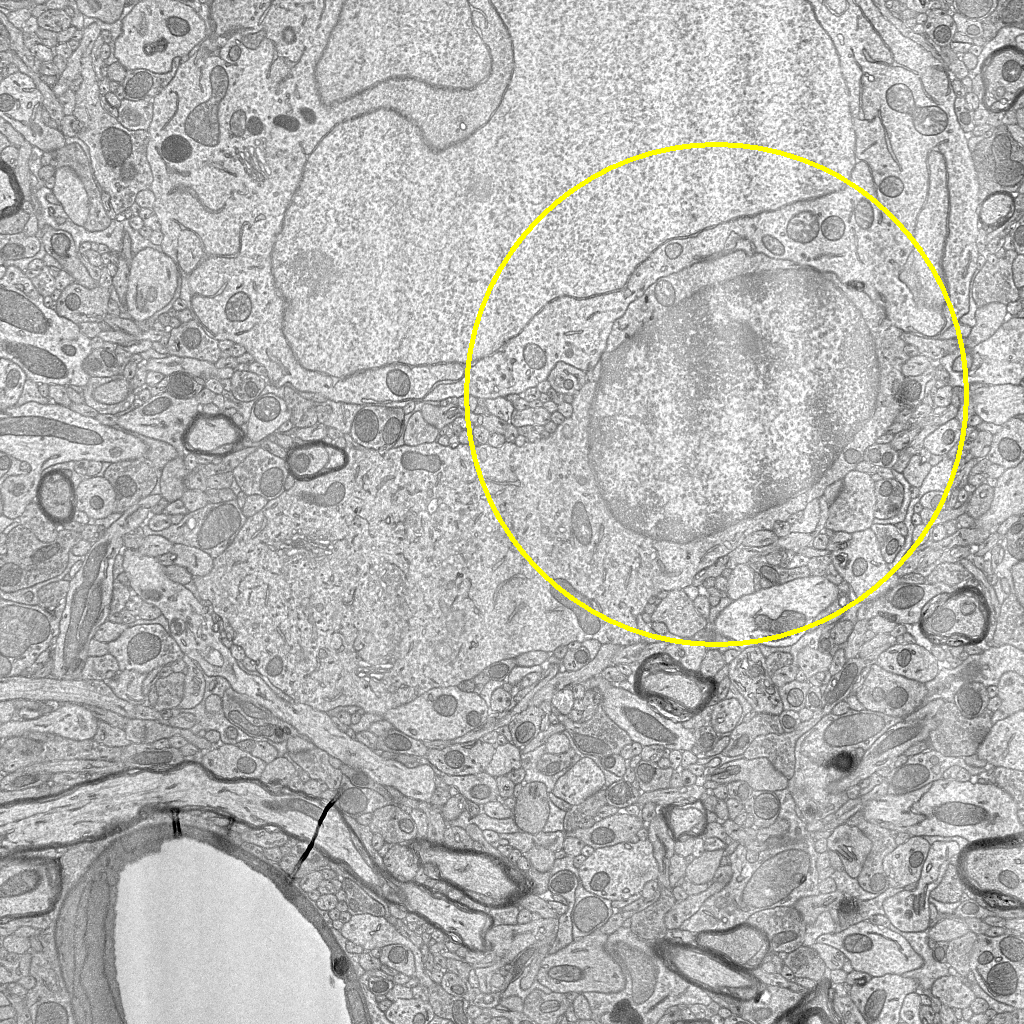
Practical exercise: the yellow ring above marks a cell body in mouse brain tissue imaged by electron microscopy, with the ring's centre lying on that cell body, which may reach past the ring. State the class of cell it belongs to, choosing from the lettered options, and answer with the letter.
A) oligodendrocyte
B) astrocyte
A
